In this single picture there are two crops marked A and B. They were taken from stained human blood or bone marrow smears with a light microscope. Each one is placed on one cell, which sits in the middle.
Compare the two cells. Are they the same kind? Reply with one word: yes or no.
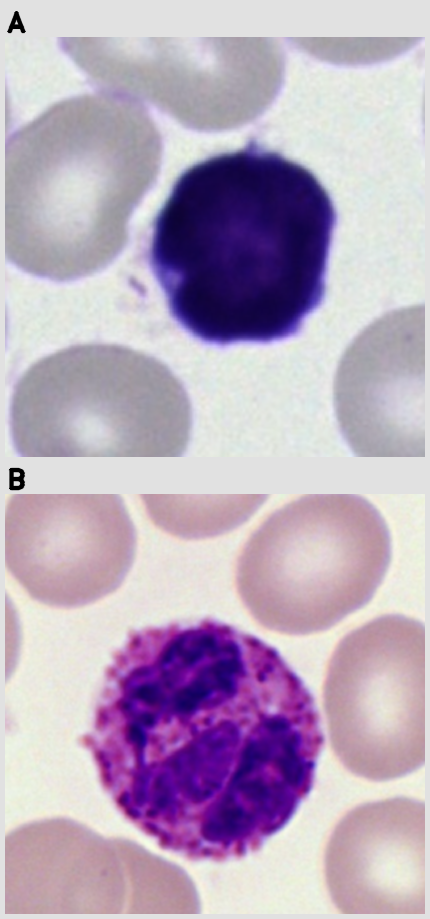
no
